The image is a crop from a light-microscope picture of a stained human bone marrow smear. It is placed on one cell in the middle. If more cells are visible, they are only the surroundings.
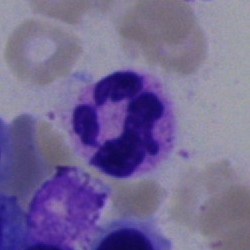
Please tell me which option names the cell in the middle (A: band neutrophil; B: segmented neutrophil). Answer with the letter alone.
B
